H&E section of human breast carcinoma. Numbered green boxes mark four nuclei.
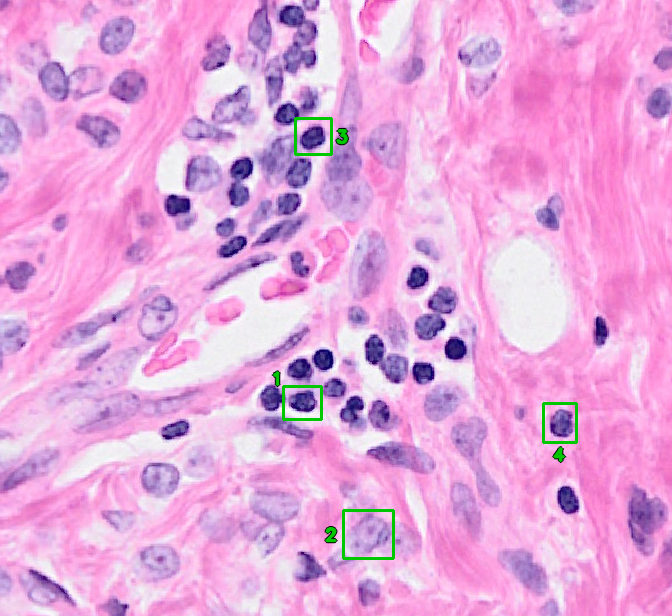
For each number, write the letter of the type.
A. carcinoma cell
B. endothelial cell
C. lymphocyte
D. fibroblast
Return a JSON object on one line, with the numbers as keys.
{"1": "C", "2": "A", "3": "C", "4": "C"}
